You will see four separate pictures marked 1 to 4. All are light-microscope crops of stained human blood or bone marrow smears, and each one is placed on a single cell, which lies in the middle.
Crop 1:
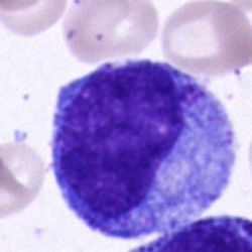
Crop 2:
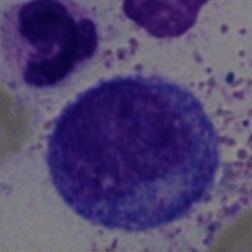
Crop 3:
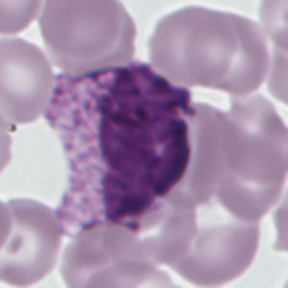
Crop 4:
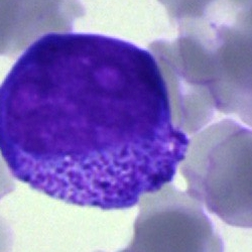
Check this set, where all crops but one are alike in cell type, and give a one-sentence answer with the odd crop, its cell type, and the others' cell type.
Here the outlier is crop 3, which is a basophil, and the rest are promyelocytes.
